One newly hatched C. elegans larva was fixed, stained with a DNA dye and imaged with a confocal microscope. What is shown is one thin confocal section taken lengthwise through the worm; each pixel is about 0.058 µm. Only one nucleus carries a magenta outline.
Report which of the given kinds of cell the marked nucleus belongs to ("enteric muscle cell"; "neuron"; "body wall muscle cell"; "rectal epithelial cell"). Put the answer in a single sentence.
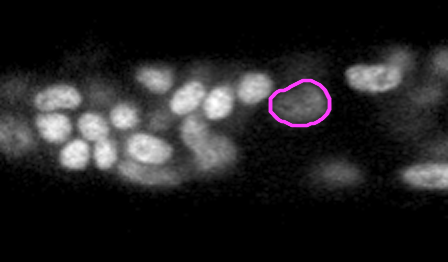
The marked cell is an enteric muscle cell.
